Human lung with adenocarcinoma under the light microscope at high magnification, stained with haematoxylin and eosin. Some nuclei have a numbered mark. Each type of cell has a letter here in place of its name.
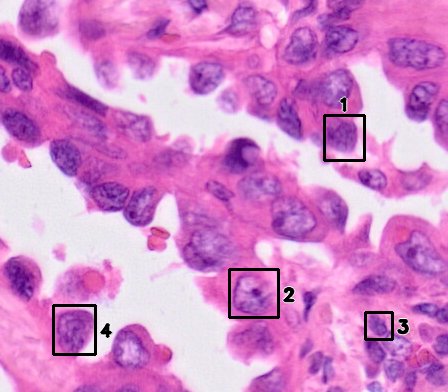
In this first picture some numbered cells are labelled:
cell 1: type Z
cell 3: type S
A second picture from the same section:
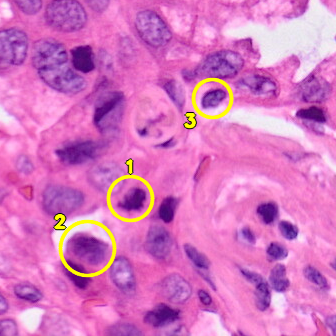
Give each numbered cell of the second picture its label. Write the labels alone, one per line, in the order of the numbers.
type Z
type Z
type S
